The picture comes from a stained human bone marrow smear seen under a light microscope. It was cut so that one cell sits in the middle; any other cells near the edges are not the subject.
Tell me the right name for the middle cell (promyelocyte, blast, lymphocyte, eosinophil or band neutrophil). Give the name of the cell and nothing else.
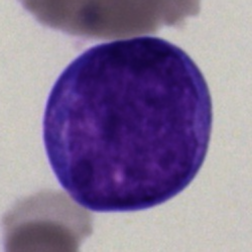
blast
